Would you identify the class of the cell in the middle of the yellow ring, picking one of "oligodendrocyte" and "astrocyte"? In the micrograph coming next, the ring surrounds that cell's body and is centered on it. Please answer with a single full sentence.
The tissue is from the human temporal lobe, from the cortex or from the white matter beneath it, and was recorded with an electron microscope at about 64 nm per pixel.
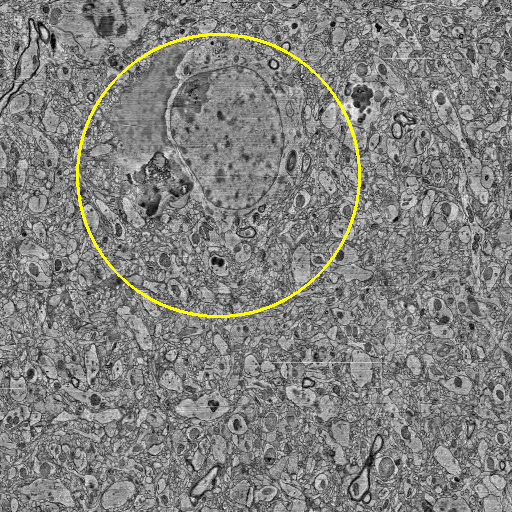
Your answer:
In the micrograph, it is an astrocyte whose body lies at the ring's center.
